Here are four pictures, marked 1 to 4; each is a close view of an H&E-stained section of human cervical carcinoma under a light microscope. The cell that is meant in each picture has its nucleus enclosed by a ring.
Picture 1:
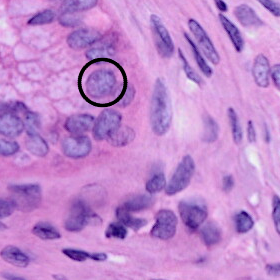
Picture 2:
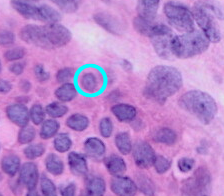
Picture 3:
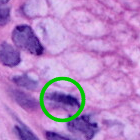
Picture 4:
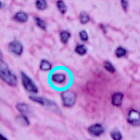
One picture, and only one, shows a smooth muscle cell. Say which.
4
